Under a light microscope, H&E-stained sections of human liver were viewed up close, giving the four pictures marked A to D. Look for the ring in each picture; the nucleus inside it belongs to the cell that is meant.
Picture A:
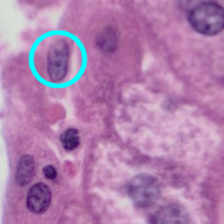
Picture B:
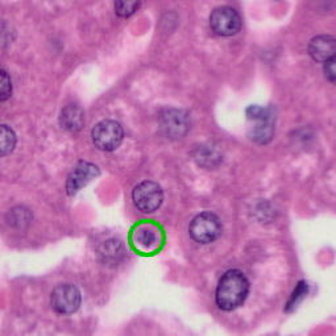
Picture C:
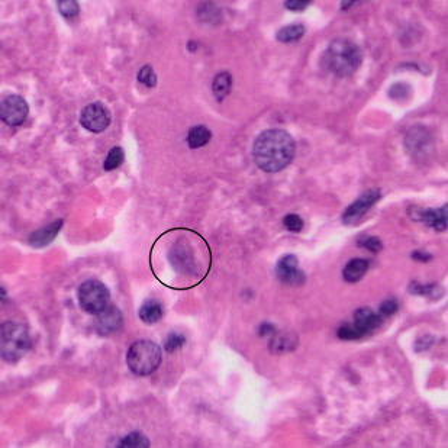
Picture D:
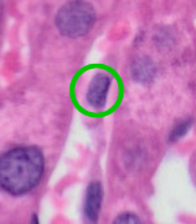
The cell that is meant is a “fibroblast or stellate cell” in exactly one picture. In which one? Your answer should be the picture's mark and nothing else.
B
